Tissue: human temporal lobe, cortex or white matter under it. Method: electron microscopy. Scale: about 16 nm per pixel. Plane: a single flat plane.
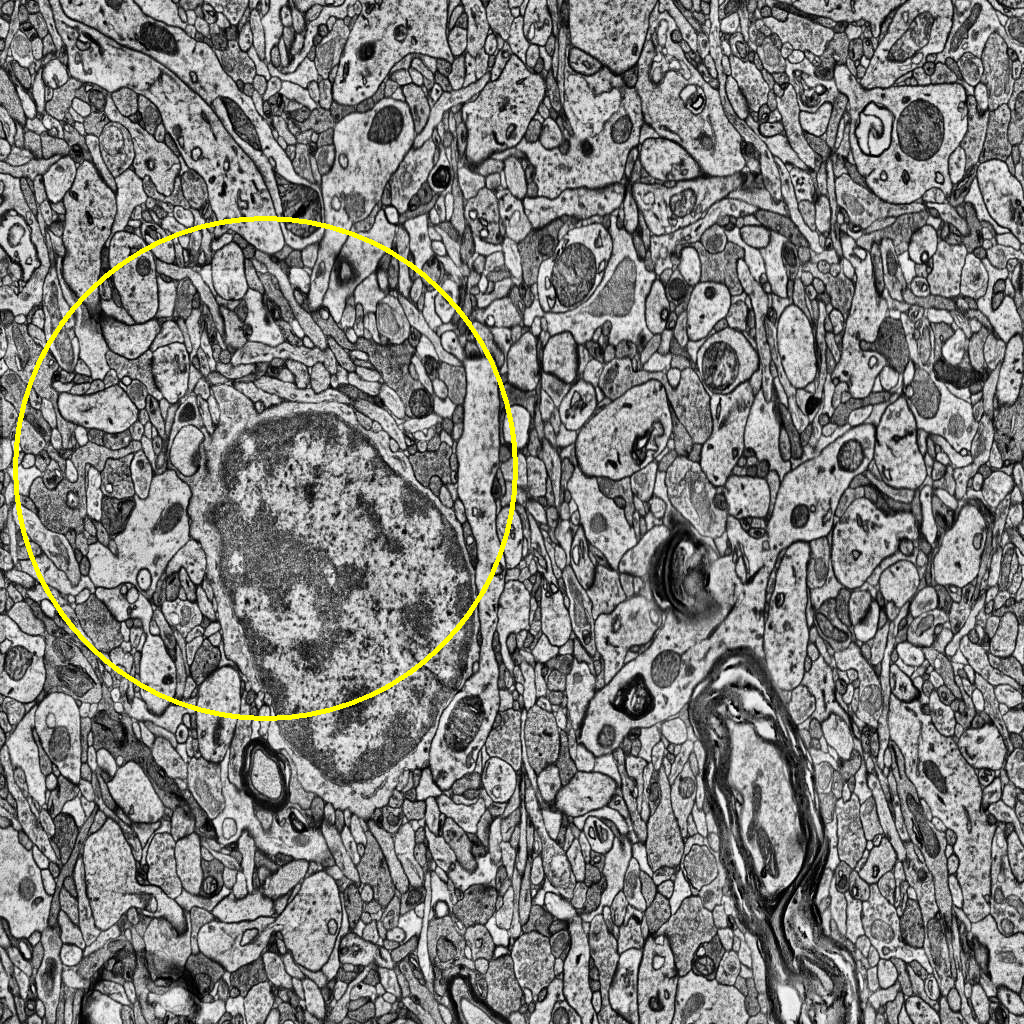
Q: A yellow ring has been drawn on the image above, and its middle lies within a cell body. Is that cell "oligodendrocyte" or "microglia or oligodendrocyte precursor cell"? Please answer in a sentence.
The ring's middle lies in the cell body of a microglial cell or oligodendrocyte precursor cell.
